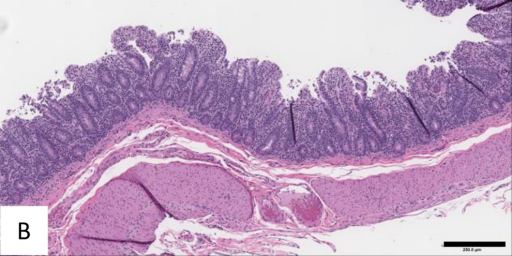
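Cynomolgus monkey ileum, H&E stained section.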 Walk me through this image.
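This is a section of small intestinal wall with mucosa above and a pink smooth muscle layer below. The villi are short and broad, so the luminal surface appears blunted and nearly flat compared with normal slender villi. The lamina propria between the crypts is crowded with small round dark purple nuclei, making the mucosa thick and densely cellular.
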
